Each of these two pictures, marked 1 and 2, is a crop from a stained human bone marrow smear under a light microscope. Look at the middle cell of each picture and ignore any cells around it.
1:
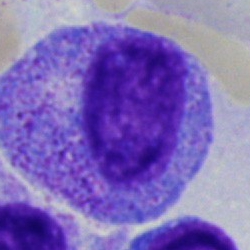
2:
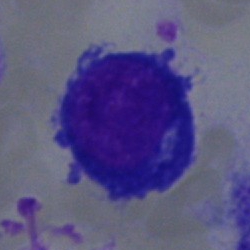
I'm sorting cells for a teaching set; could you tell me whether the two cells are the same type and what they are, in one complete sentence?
No, crop 1 is of a promyelocyte, and crop 2 is of a proerythroblast.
